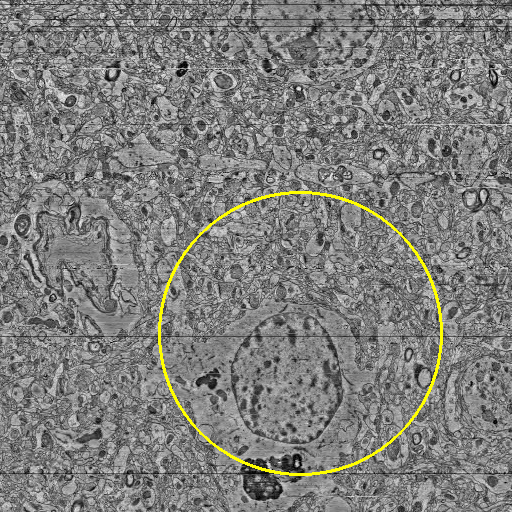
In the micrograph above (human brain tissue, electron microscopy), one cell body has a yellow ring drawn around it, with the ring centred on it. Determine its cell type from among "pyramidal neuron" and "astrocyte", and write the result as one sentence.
The cell whose body is ringed is an astrocyte.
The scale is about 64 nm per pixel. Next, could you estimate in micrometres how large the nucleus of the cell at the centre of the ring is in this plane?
Approximately 9 by 7 micrometers in this plane.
